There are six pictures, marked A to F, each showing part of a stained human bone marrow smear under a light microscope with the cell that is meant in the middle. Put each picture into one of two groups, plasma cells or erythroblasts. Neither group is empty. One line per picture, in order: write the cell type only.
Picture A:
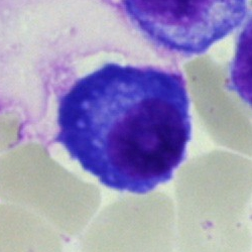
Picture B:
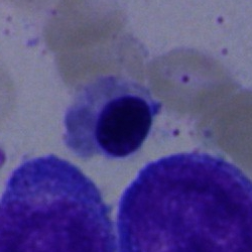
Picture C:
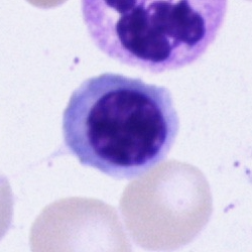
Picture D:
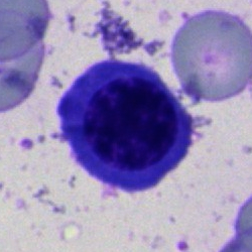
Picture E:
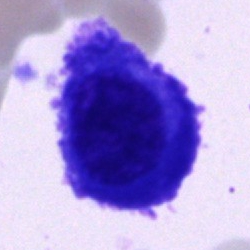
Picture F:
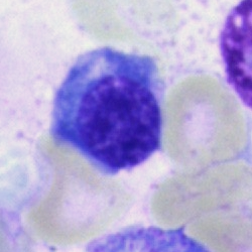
plasma cell
erythroblast
erythroblast
erythroblast
plasma cell
erythroblast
